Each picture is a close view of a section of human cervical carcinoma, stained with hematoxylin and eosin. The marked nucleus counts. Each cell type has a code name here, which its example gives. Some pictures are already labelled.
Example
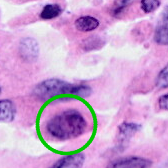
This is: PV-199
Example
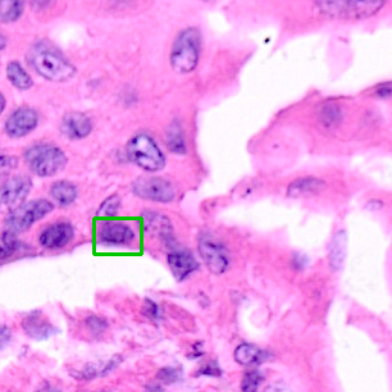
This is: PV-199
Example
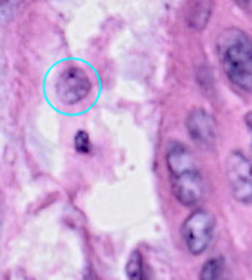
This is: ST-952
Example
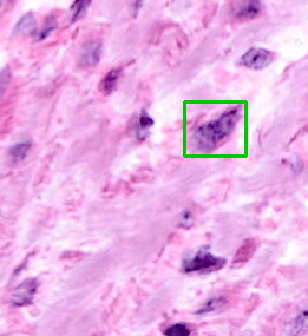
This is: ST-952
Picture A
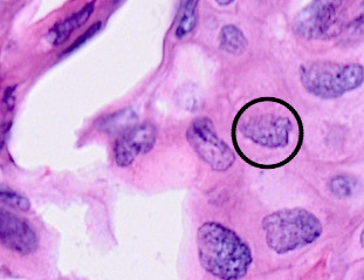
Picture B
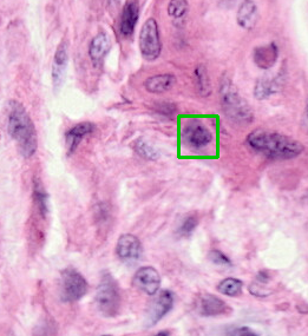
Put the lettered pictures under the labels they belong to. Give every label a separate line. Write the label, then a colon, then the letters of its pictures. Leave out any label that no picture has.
PV-199: A, B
